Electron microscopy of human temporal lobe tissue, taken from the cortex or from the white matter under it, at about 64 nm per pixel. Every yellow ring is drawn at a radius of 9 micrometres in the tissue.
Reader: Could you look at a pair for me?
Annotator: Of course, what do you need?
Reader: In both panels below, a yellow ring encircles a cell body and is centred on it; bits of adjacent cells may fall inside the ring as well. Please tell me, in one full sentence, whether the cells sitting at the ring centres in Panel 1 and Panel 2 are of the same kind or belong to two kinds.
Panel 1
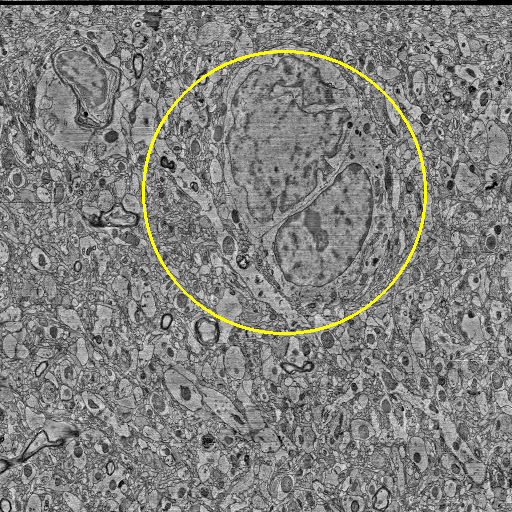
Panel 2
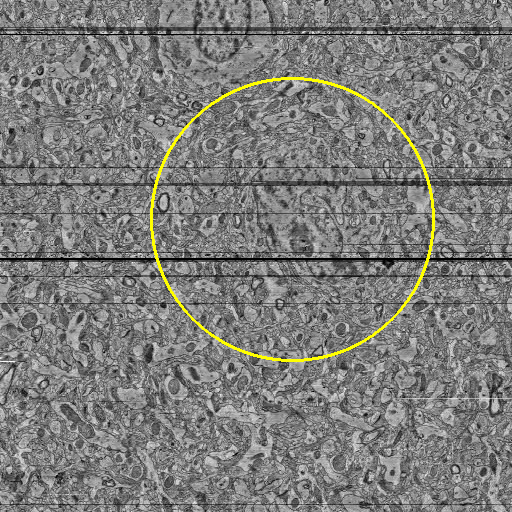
The cell at the ring's centre in Panel 1 and the one in Panel 2 are of the same kind.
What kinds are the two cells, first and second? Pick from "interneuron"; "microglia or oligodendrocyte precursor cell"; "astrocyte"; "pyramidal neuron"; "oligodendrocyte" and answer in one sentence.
Both pictures show an interneuron at the centre of the ring.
